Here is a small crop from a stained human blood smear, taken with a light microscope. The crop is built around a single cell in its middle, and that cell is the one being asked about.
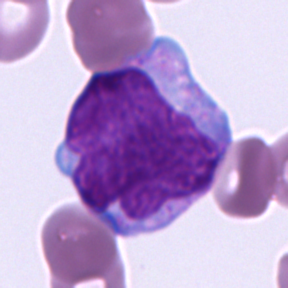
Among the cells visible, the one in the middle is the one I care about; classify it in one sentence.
The central element of this crop is a cell, namely an atypical promyelocyte.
